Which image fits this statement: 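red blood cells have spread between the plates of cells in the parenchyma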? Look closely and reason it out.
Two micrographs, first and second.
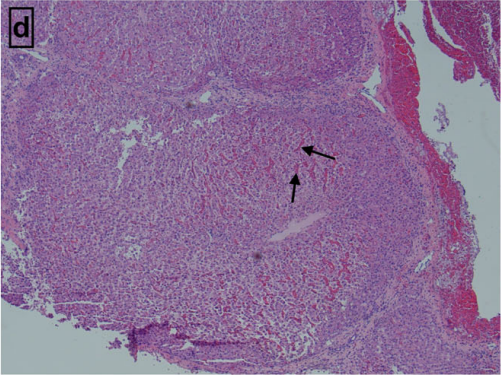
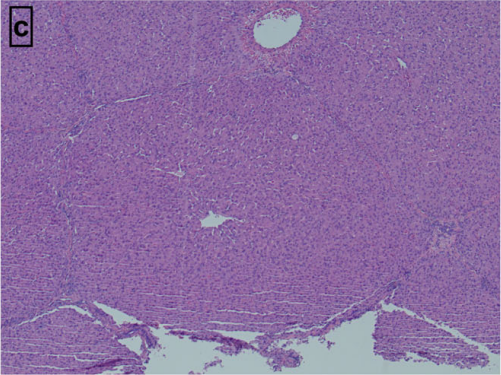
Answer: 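Second image: the lobule is uniformly pink-purple without red areas. That points to this answer: the first image.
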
